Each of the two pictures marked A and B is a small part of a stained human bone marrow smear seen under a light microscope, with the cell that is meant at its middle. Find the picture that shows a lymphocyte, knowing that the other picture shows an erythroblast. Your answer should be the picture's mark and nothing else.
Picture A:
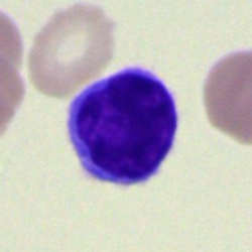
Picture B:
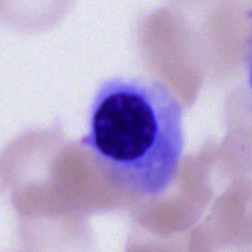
A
